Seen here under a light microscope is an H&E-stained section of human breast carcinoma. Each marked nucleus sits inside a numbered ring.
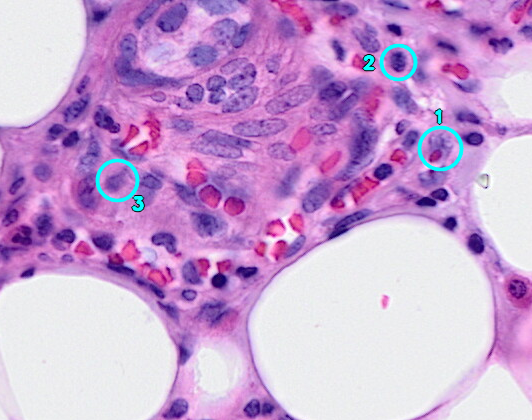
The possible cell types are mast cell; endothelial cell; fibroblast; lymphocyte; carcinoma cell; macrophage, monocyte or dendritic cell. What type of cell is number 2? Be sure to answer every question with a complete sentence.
The cell that is numbered 2 is a mast cell.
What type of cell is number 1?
At number 1, the marked cell is an endothelial cell.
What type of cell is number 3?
The cell that bears the number 3 is an endothelial cell.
